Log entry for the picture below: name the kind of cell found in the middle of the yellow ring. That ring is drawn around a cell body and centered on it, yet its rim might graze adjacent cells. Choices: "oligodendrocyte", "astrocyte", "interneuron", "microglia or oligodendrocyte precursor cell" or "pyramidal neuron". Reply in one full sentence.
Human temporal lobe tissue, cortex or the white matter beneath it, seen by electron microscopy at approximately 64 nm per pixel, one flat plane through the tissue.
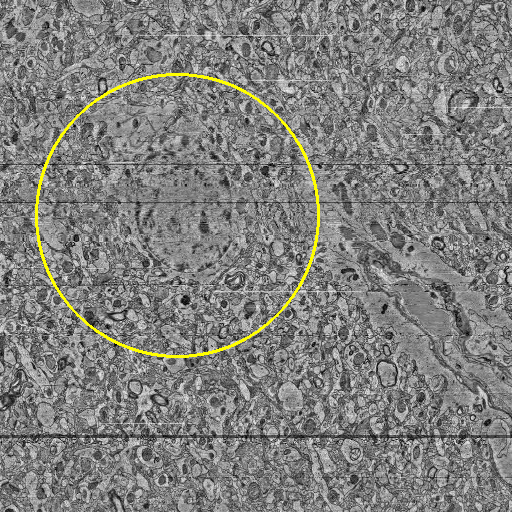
The cell in the middle of the yellow ring in this picture is an astrocyte.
